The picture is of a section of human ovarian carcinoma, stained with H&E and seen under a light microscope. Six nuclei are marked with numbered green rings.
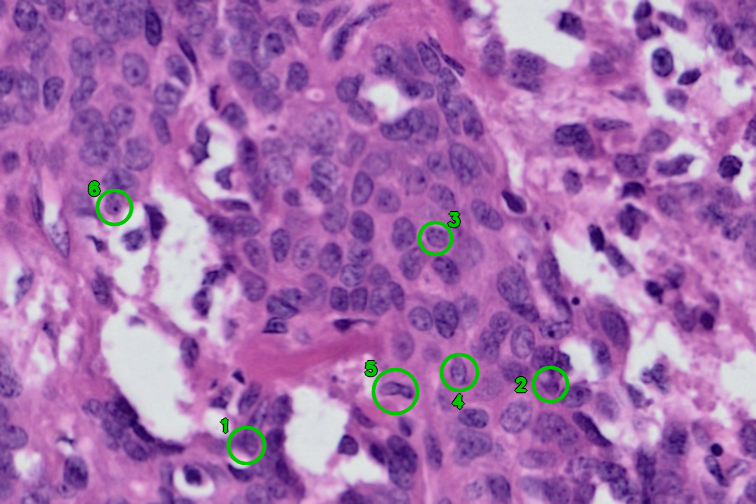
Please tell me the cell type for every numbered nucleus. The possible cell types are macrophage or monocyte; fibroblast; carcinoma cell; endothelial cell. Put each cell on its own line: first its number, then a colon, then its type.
1: carcinoma cell
2: carcinoma cell
3: macrophage or monocyte
4: endothelial cell
5: macrophage or monocyte
6: macrophage or monocyte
